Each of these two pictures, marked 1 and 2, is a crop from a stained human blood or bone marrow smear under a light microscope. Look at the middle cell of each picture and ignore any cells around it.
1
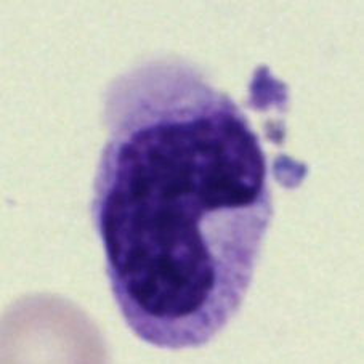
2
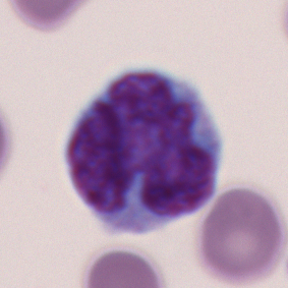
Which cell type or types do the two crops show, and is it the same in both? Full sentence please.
No, crop 1 features a band neutrophil, while crop 2 features a monocyte.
